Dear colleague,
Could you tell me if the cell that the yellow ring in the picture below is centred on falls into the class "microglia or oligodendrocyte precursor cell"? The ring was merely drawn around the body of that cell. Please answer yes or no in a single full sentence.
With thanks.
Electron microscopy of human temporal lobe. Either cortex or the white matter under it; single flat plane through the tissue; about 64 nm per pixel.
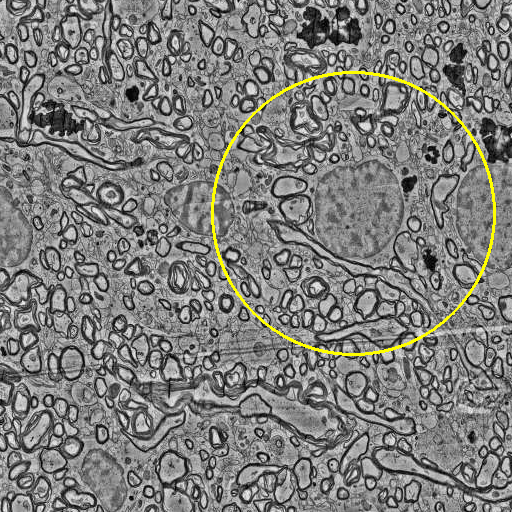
No, the cell on which the ring in your picture is centred falls into a different class.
